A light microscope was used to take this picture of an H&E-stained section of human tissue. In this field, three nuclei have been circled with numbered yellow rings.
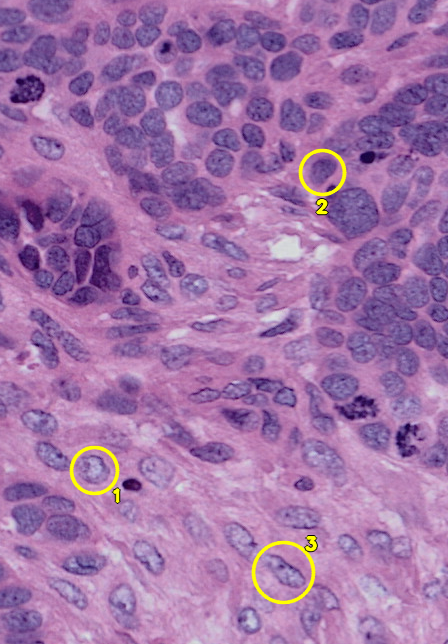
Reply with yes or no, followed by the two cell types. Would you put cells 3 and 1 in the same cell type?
Yes, the two numbered cells 3 and 1 are both fibroblasts.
